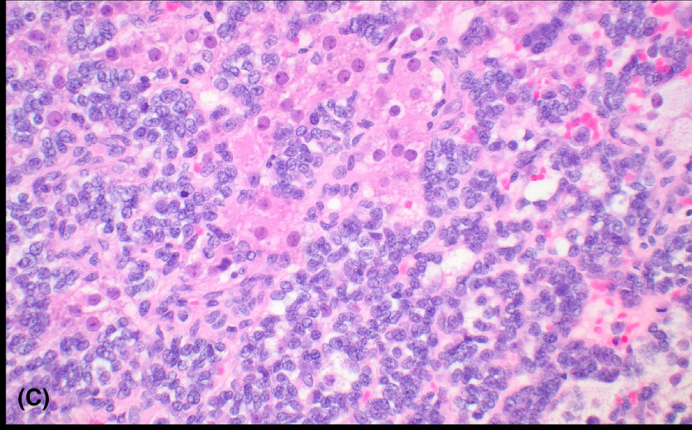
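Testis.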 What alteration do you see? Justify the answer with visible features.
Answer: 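Clusters of larger cells with abundant pink cytoplasm. These large cells have round nuclei with visible nucleoli. They lie among sheets of smaller cells with crowded oval nuclei. That points to this answer: Leydig cell phenotype.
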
